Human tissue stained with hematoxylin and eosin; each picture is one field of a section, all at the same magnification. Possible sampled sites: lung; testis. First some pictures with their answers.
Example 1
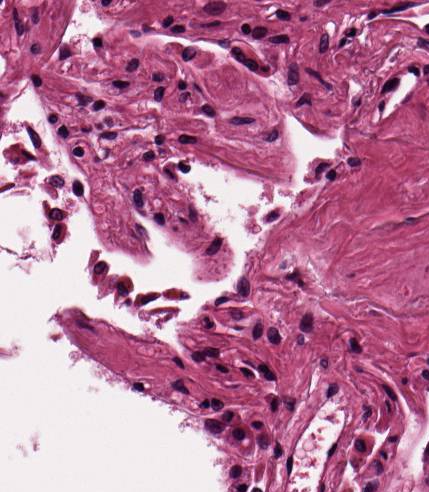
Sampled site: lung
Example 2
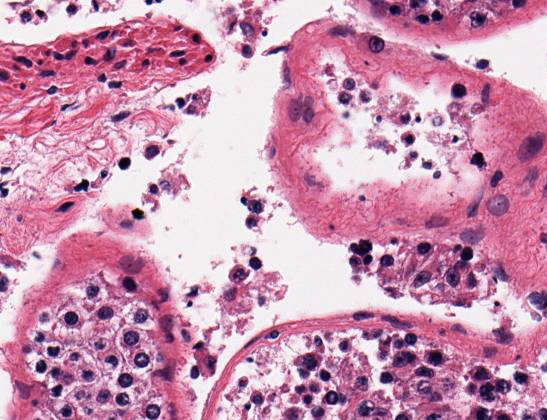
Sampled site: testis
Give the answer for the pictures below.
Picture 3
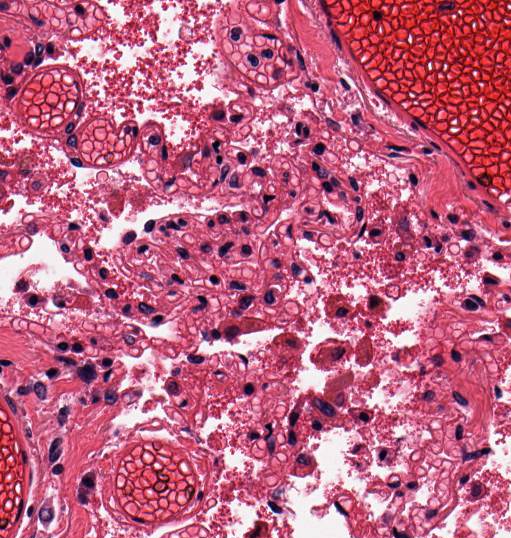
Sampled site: lung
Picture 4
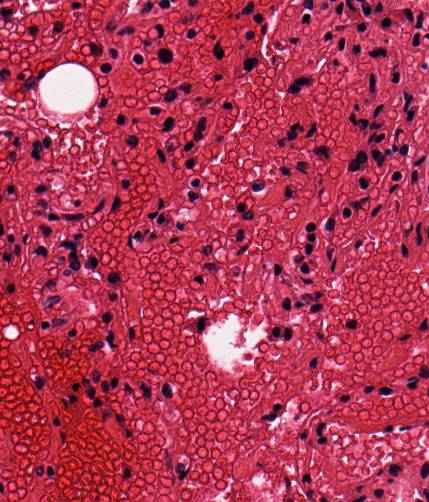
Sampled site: lung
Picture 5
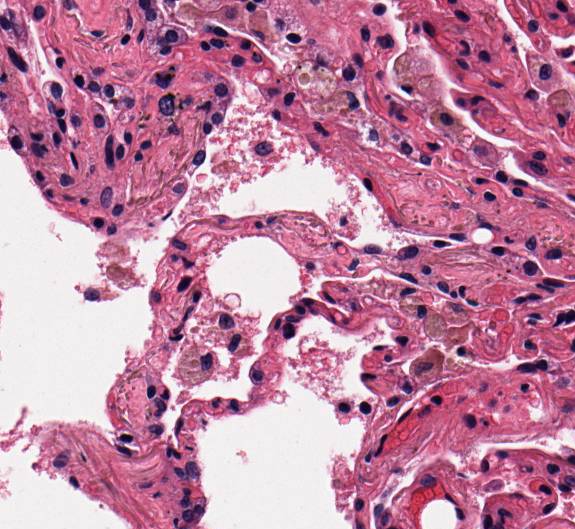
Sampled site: lung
